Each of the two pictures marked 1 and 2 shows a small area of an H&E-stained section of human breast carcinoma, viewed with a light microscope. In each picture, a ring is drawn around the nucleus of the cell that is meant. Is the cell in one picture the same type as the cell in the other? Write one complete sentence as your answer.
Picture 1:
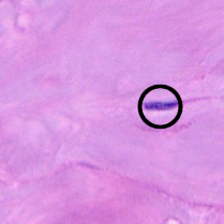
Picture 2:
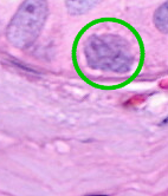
No; the cell in picture 1 is a fibroblast, while the one in picture 2 is a carcinoma cell.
